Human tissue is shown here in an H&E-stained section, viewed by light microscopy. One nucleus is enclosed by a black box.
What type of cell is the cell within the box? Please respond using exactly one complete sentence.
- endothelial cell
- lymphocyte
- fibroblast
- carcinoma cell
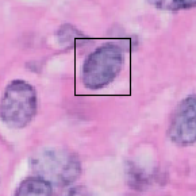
In this tissue sample, the cell within the box is a carcinoma cell.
